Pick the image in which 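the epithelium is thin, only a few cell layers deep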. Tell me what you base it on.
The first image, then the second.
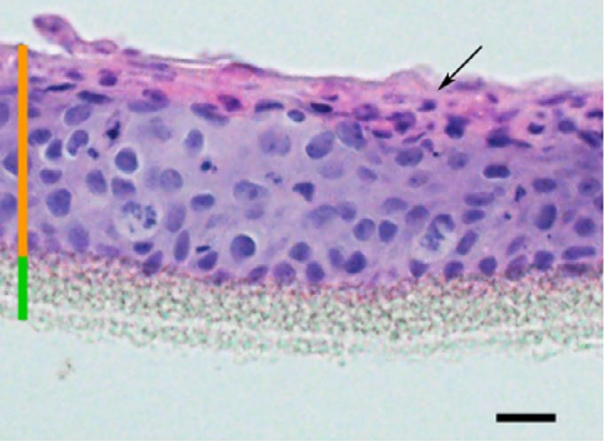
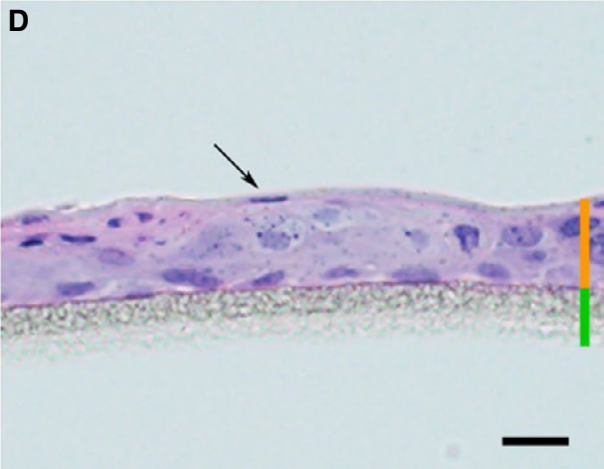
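The second image. Second image: the cellular layer above the filter is thin, with few rows of nuclei. First image: the epithelium is thick and multilayered, with many rows of nuclei above the filter.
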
